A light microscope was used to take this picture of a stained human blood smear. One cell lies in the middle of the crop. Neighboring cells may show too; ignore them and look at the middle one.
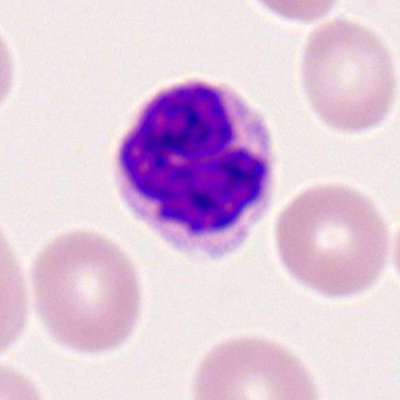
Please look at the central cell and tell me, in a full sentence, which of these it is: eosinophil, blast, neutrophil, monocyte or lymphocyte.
The cell centered in this field of view is a neutrophil.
